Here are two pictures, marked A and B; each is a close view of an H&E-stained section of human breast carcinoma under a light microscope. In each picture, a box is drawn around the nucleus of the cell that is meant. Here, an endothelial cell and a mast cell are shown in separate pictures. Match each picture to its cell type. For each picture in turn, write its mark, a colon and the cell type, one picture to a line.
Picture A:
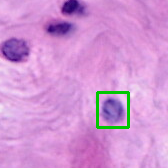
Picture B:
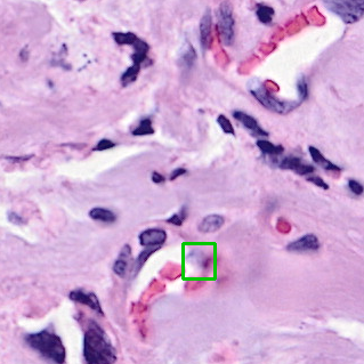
A: mast cell
B: endothelial cell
